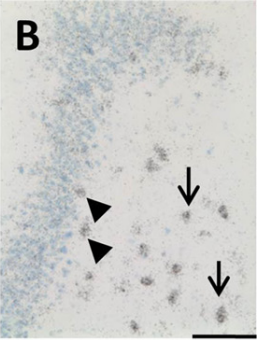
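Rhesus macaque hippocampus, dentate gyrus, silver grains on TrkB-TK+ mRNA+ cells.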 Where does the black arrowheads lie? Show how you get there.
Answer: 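Subgranular zone. The arrowheads point to grain clusters right at the inner edge of the dense blue cell band.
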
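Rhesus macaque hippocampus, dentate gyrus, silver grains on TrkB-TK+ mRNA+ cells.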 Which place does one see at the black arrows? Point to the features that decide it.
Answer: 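The arrowed grain clusters lie in the sparsely celled region away from the dense blue cell band. They are well separated from the band's edge.
Conclusion: hilus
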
